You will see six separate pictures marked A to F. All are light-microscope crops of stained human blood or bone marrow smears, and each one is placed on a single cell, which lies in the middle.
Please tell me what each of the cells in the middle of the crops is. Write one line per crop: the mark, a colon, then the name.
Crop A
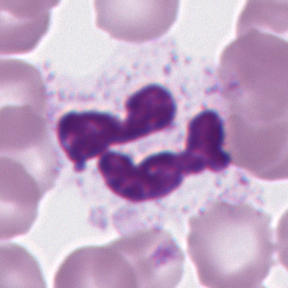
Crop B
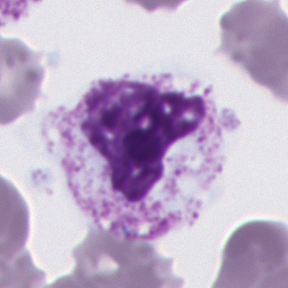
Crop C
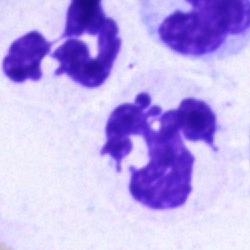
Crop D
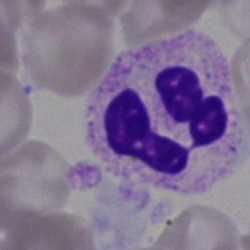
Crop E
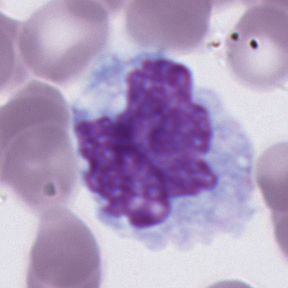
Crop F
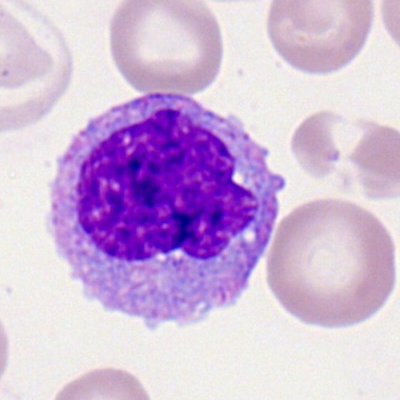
A: segmented neutrophil
B: segmented neutrophil
C: segmented neutrophil
D: segmented neutrophil
E: monocyte
F: monocyte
